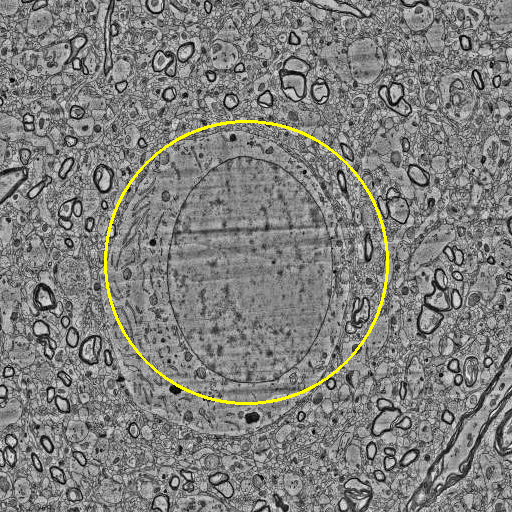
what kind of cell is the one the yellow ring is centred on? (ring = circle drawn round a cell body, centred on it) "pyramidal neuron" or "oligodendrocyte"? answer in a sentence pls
The ring is drawn around a pyramidal neuron.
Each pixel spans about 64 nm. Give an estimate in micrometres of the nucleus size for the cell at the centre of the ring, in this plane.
About 14 by 11 micrometers, in this plane.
